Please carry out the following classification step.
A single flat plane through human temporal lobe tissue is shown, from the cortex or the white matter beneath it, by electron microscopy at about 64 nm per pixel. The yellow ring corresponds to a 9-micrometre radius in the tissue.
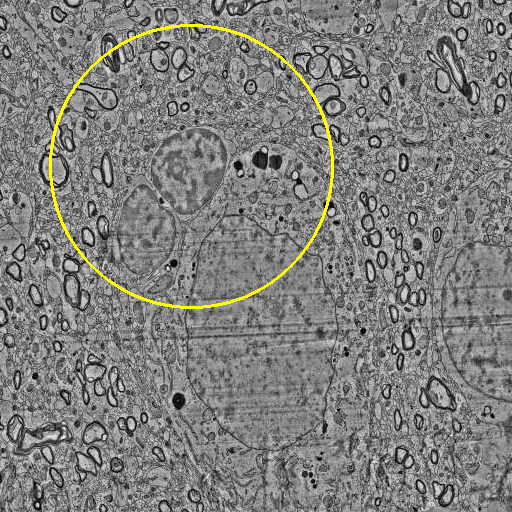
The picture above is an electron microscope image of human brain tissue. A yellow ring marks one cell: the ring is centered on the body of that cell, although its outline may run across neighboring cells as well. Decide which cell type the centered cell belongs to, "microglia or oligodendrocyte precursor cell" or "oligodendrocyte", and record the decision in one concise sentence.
The cell centered in the yellow ring is a microglial cell or oligodendrocyte precursor cell.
